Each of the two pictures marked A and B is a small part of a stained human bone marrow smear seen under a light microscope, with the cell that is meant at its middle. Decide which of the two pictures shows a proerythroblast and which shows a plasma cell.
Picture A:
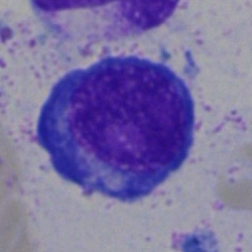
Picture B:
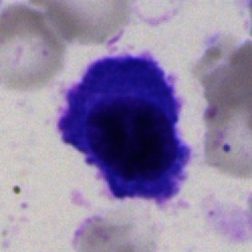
A: proerythroblast
B: plasma cell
